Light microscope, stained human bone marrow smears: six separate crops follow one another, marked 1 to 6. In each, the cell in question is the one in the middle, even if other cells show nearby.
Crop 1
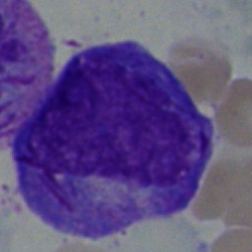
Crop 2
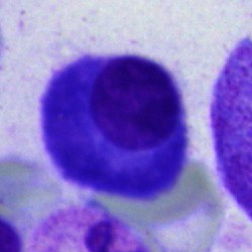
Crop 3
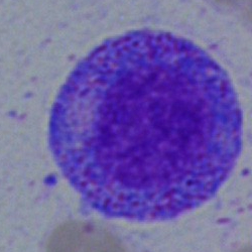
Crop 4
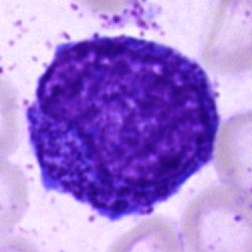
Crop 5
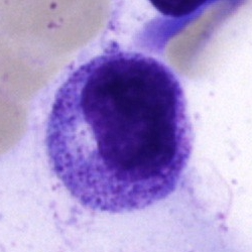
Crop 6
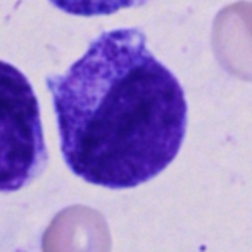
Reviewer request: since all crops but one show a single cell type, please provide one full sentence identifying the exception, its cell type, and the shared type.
Every crop but one shows promyelocytes; the exception, crop 2, shows a plasma cell.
